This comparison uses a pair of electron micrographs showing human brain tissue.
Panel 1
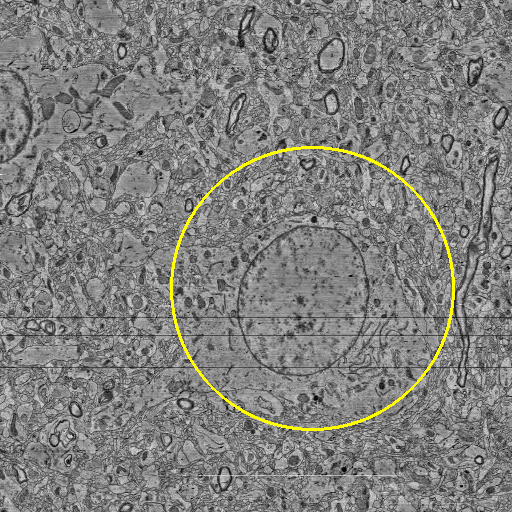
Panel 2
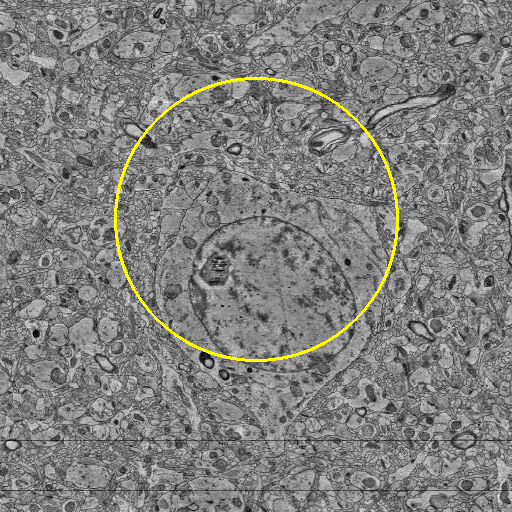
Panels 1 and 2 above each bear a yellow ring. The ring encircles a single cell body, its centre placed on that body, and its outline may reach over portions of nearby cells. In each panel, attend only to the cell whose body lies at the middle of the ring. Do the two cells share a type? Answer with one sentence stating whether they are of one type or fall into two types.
In Panel 1 and Panel 2, the cells at the centres of the rings are of one type.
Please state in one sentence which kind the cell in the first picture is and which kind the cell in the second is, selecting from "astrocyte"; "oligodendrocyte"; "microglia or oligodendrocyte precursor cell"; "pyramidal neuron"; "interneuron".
Each of the two rings surrounds a pyramidal neuron.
